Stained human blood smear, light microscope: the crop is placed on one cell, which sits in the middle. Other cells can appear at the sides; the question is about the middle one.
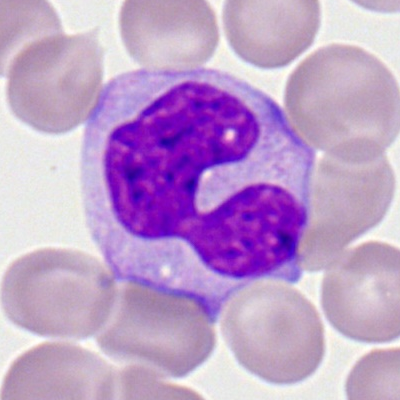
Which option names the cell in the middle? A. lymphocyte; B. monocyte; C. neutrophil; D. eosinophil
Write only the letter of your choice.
B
